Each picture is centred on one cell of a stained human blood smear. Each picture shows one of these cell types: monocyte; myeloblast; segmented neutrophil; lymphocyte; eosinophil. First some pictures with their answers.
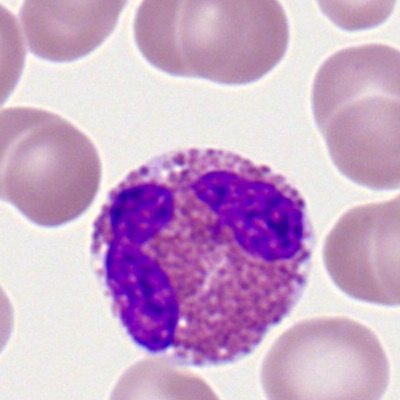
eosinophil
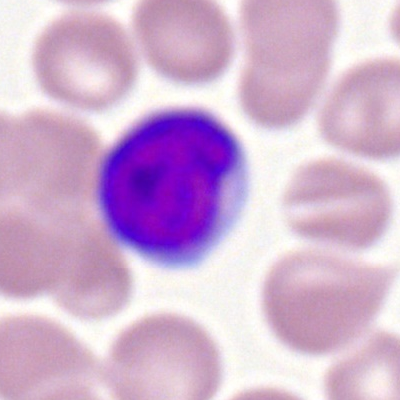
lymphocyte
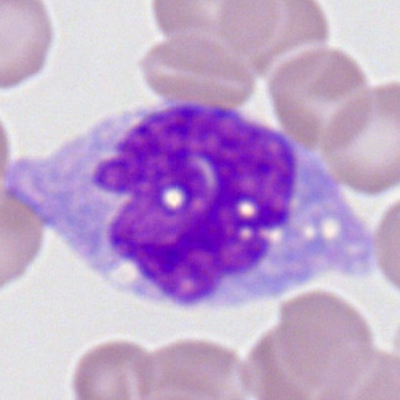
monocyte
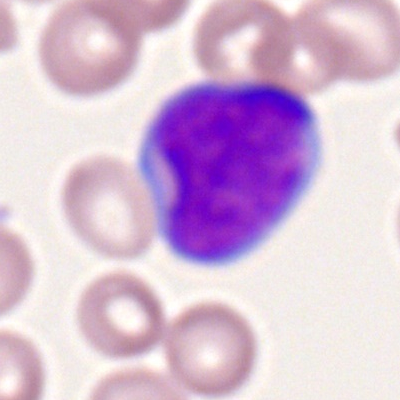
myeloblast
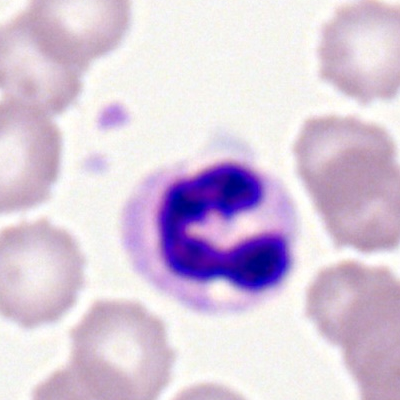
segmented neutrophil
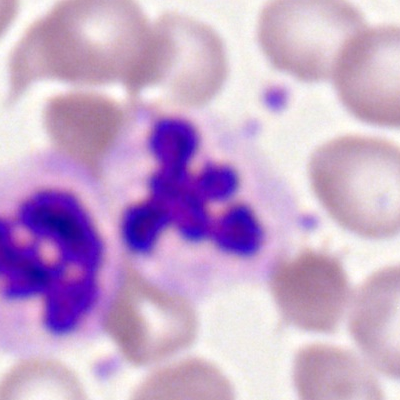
segmented neutrophil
